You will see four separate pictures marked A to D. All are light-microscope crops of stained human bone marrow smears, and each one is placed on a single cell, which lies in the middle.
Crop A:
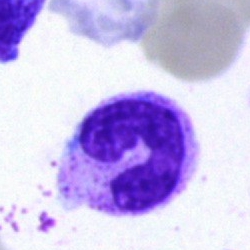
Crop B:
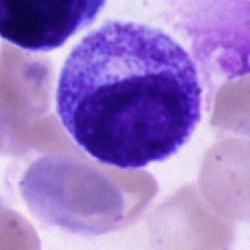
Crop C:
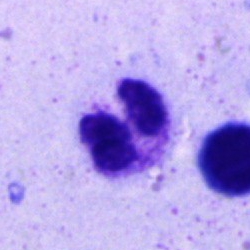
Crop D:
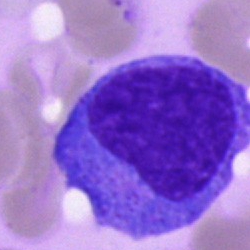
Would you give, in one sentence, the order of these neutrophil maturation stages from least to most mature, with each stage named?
Ranked from the least mature cell to the most mature, they are crop D (a promyelocyte), crop B (a myelocyte), crop A (a band neutrophil) and crop C (a segmented neutrophil).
